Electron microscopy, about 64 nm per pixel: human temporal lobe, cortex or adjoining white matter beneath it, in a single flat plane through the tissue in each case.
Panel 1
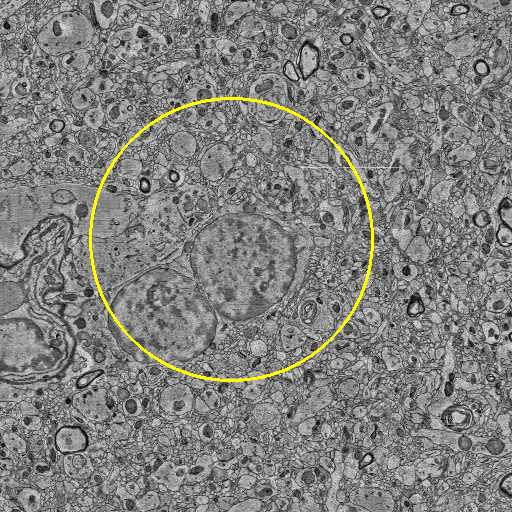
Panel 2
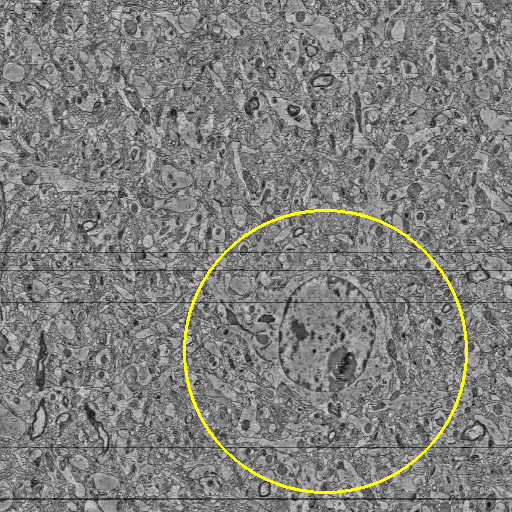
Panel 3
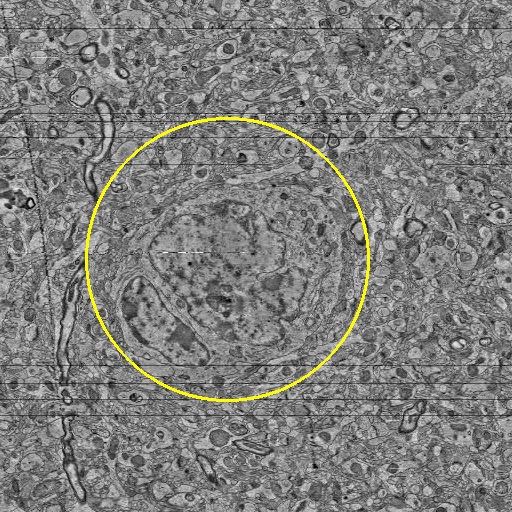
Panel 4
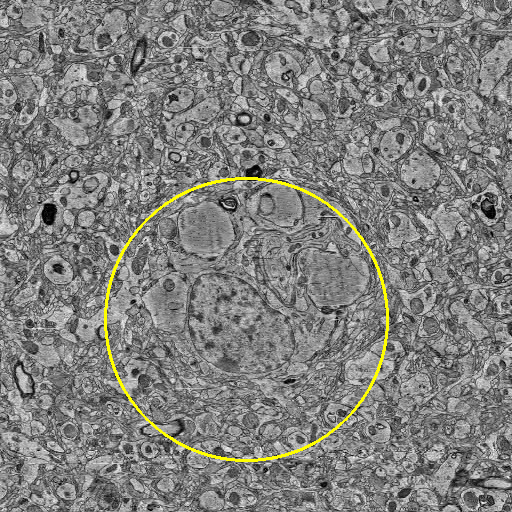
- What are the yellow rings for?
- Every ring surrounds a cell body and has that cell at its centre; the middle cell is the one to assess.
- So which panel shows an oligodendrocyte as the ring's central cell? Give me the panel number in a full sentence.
The panel whose ring is centred on the cell in question is panel 1.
